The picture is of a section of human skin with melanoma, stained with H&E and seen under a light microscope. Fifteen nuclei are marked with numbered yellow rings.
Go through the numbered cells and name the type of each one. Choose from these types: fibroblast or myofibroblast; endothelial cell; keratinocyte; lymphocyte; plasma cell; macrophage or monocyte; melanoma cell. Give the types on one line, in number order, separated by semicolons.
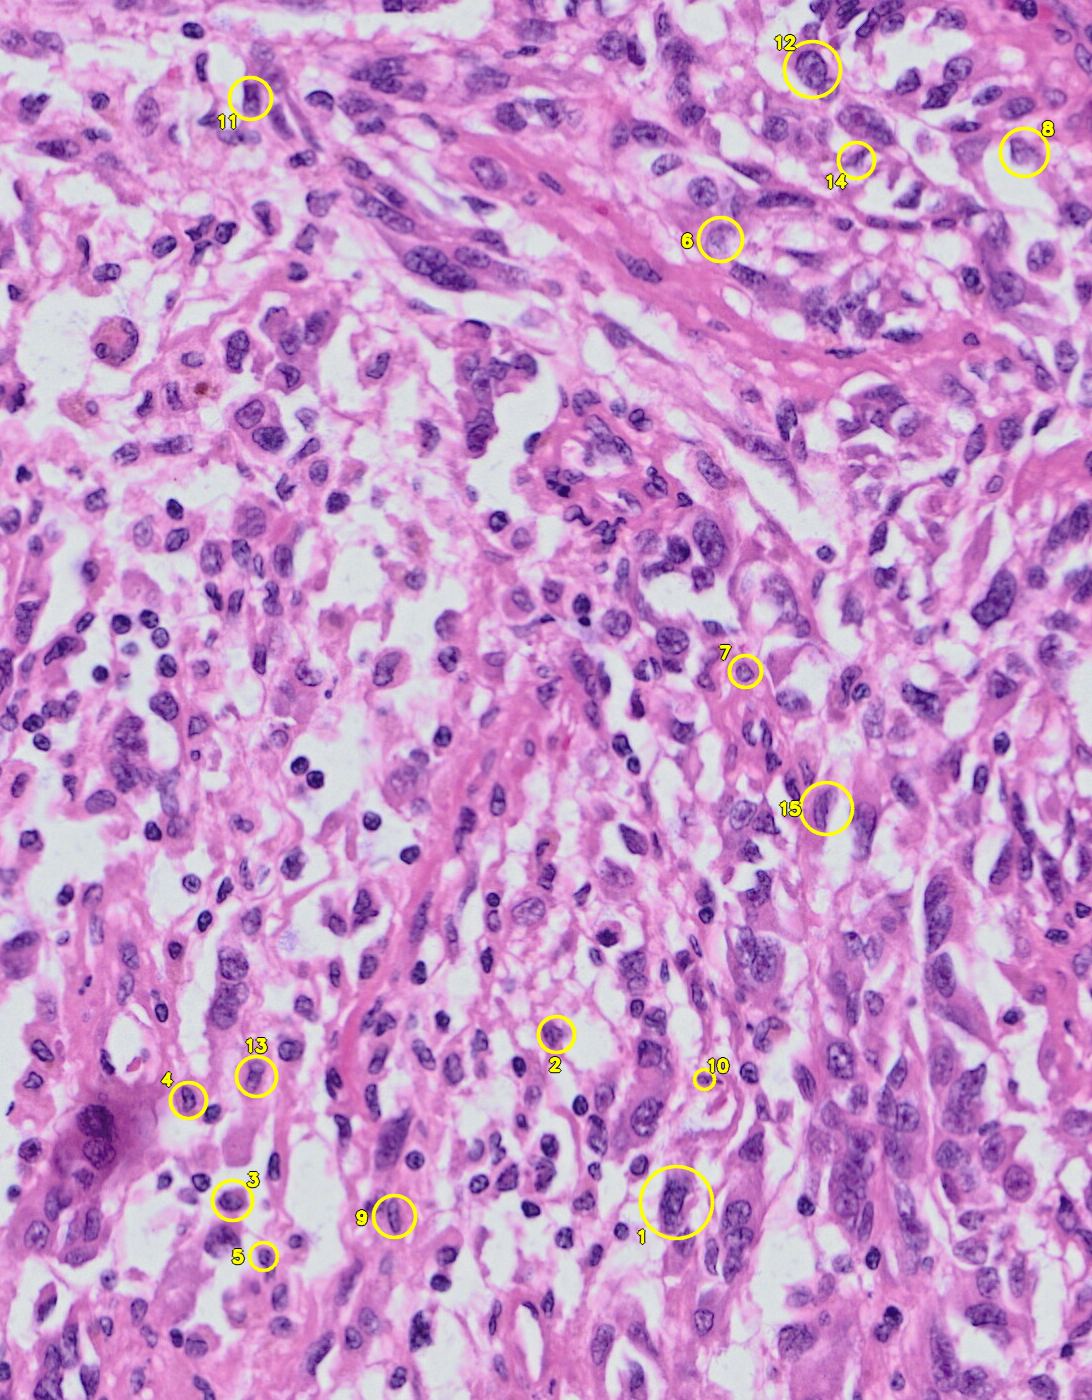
melanoma cell; macrophage or monocyte; macrophage or monocyte; macrophage or monocyte; macrophage or monocyte; melanoma cell; macrophage or monocyte; melanoma cell; macrophage or monocyte; macrophage or monocyte; melanoma cell; melanoma cell; macrophage or monocyte; melanoma cell; melanoma cell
